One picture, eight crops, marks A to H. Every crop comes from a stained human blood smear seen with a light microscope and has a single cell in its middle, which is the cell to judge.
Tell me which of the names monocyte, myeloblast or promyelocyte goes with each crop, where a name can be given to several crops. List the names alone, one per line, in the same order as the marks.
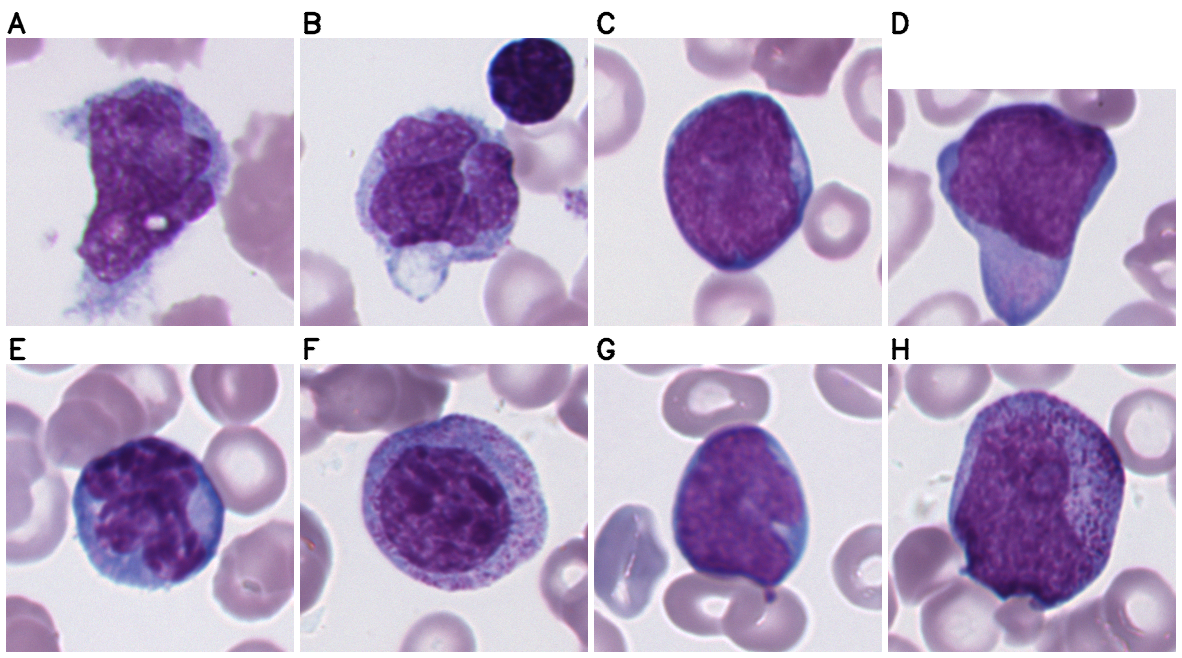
monocyte
monocyte
myeloblast
myeloblast
monocyte
promyelocyte
myeloblast
promyelocyte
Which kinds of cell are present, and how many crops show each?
monocyte: 3
myeloblast: 3
promyelocyte: 2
